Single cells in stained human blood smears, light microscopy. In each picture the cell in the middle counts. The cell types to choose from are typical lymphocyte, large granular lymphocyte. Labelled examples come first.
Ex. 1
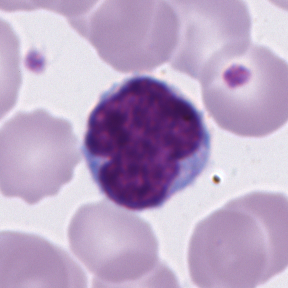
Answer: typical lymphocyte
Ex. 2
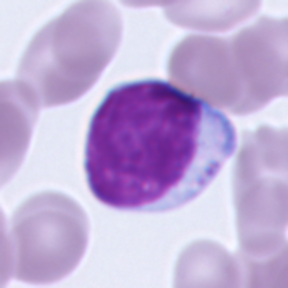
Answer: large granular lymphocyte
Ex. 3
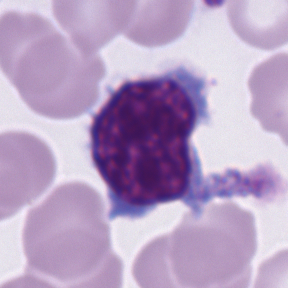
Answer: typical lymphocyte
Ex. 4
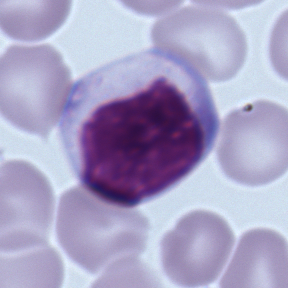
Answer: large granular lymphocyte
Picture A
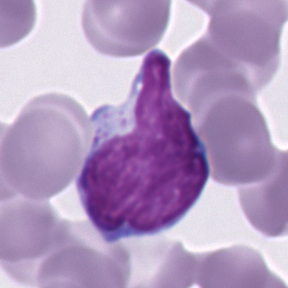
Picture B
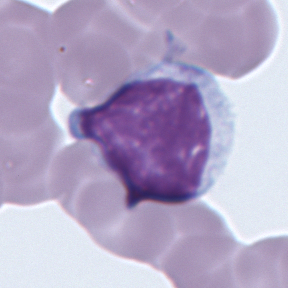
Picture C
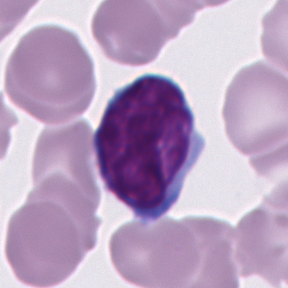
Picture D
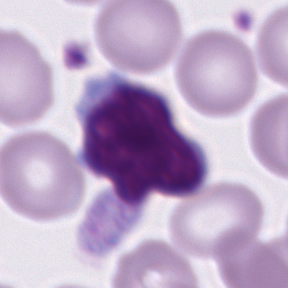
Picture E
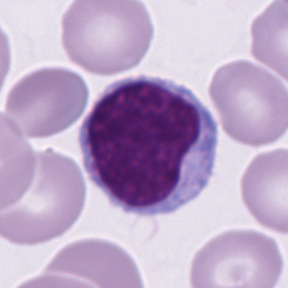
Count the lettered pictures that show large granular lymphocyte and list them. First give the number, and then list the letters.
Count: 1 (A)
